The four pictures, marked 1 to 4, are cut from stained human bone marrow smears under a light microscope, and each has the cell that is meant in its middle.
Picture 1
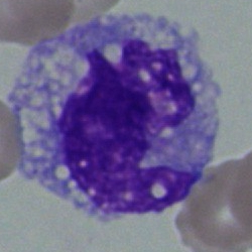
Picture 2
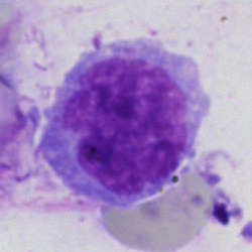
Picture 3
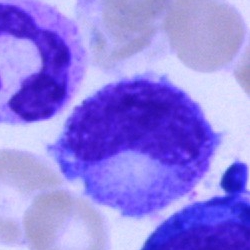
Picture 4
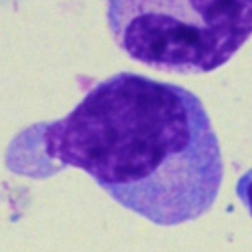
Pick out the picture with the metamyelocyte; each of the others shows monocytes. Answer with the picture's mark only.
3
